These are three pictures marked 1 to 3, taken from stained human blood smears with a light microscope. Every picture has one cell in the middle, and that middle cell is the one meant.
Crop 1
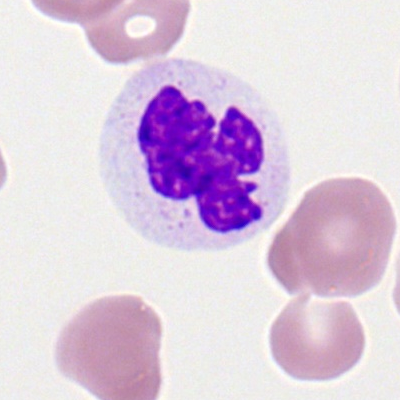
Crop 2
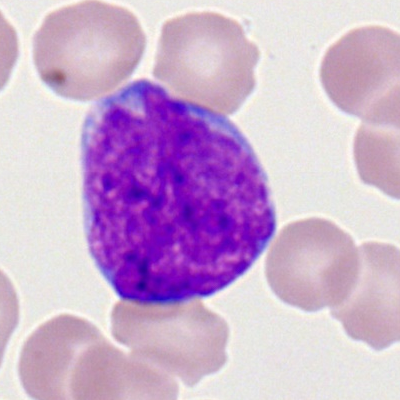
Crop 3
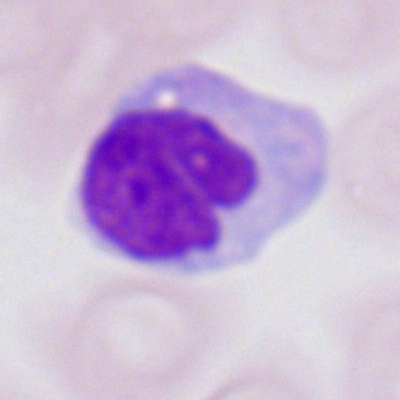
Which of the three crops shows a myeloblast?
2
